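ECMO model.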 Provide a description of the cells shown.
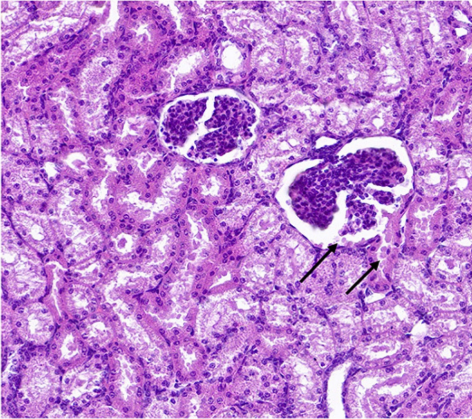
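Pink-and-purple stained kidney tissue showing two glomeruli among densely packed tubules. Each glomerulus is a compact tuft of dark purple nuclei lying in a clear space inside a thin capsule, with the larger tuft irregularly shaped. The surrounding tubules are lined by cuboidal epithelial cells with round purple nuclei and pink cytoplasm.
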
